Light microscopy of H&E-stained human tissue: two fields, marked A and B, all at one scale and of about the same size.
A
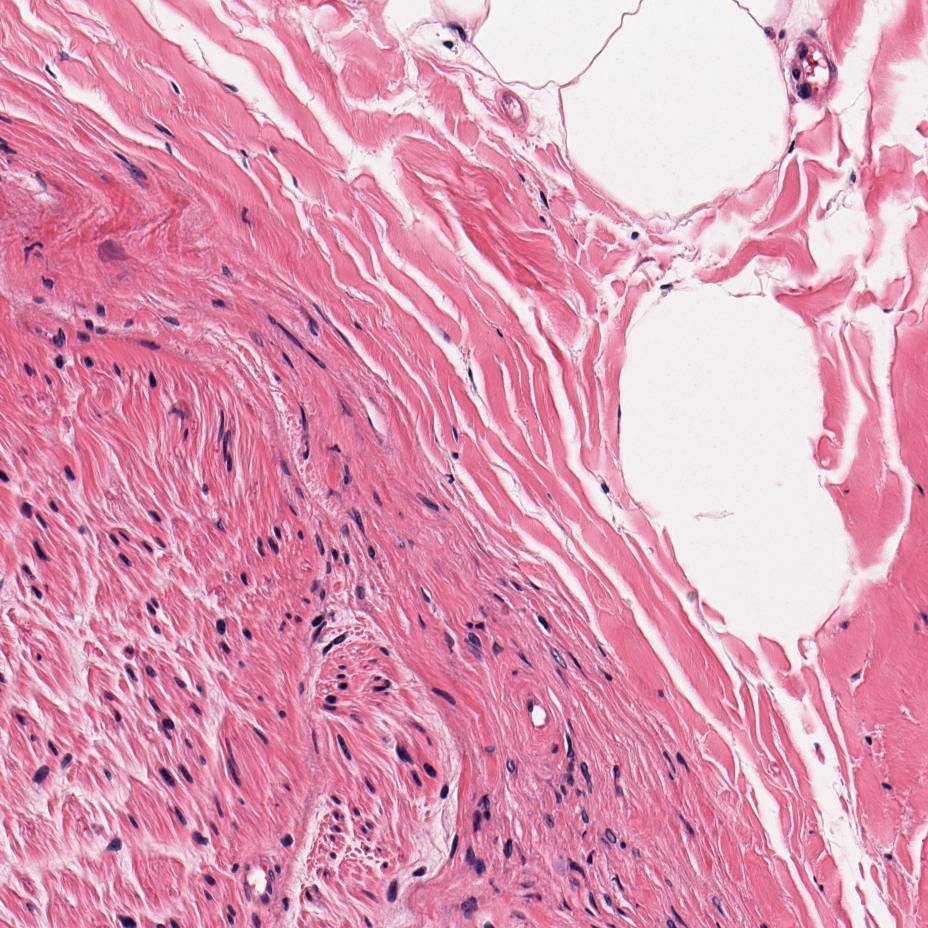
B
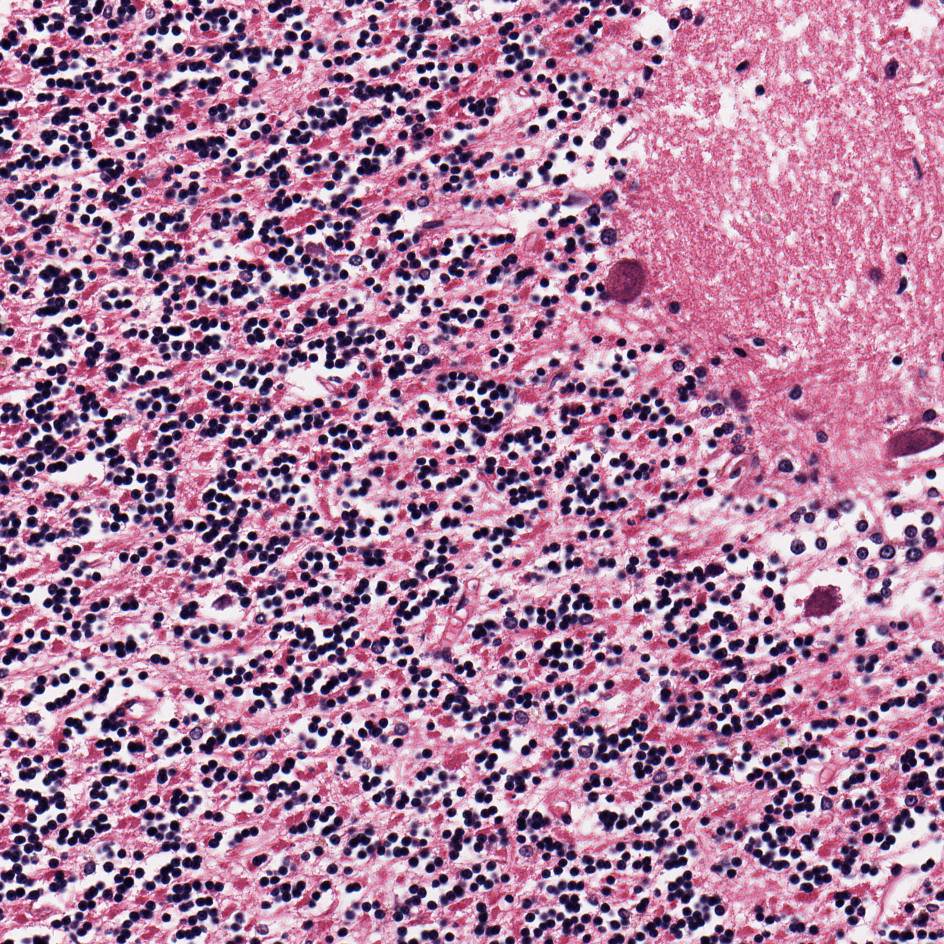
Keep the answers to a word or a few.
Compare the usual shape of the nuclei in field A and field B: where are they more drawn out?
A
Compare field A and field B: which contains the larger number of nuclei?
B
